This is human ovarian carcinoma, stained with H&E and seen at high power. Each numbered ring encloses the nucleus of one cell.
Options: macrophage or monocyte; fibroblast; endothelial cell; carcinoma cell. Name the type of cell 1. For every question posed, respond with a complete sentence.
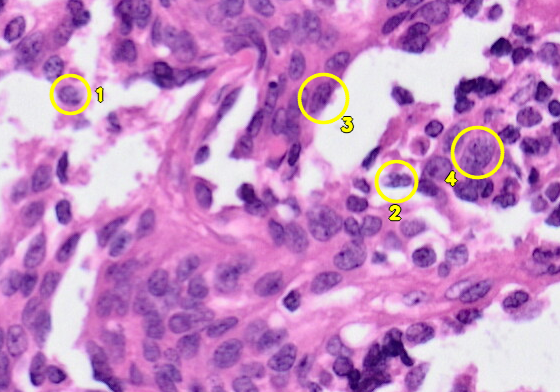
The cell marked with number 1 is a macrophage or monocyte.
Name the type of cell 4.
The cell identified by number 4 is a carcinoma cell.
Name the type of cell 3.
The cell to which the number 3 is assigned is a carcinoma cell.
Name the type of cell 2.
Cell 2 should be recorded as a carcinoma cell.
